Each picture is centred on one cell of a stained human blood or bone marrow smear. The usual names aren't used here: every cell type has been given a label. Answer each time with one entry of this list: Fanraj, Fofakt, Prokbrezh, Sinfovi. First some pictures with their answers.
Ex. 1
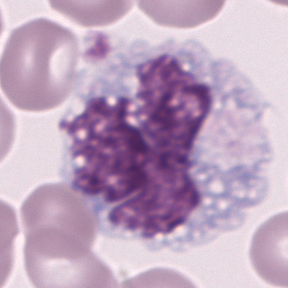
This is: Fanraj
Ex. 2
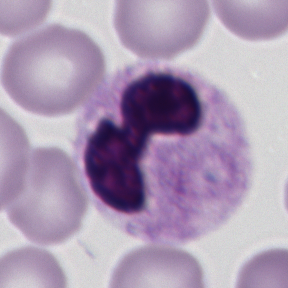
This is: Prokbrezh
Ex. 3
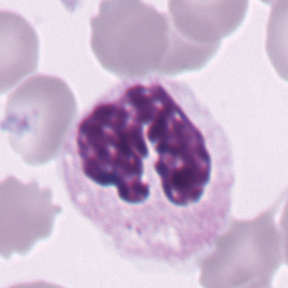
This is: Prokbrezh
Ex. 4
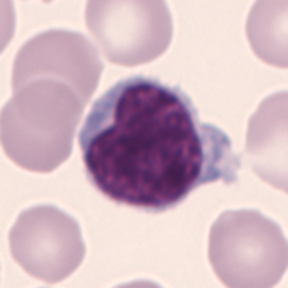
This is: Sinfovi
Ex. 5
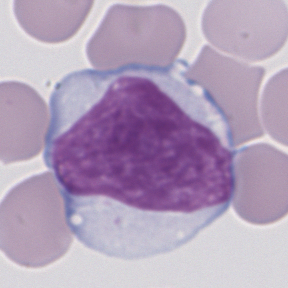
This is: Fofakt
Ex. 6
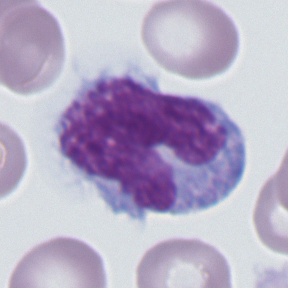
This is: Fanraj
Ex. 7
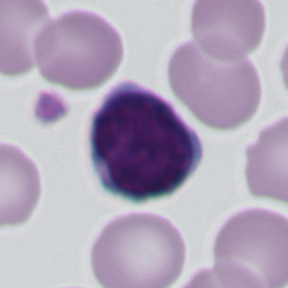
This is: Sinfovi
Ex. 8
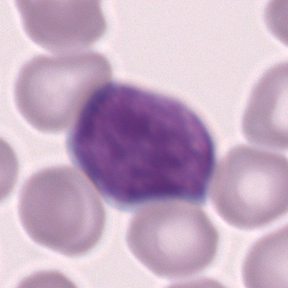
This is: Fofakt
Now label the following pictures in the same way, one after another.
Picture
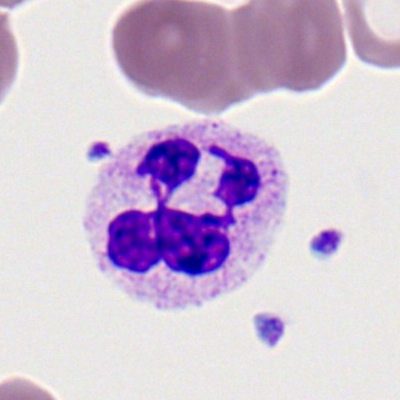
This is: Prokbrezh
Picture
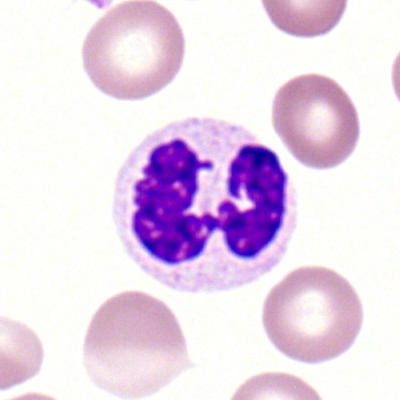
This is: Prokbrezh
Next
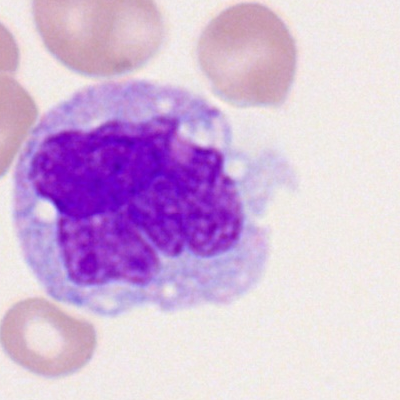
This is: Fanraj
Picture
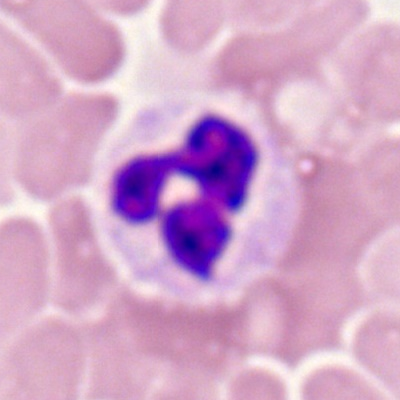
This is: Prokbrezh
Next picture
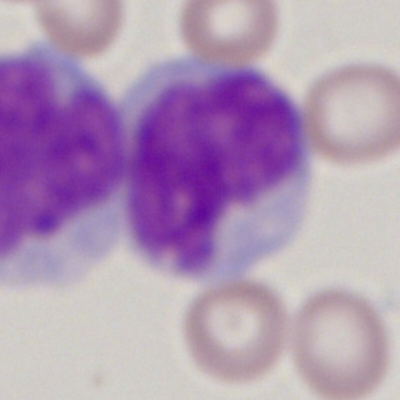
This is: Fanraj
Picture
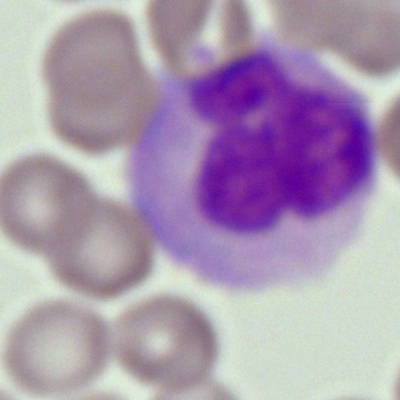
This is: Fanraj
